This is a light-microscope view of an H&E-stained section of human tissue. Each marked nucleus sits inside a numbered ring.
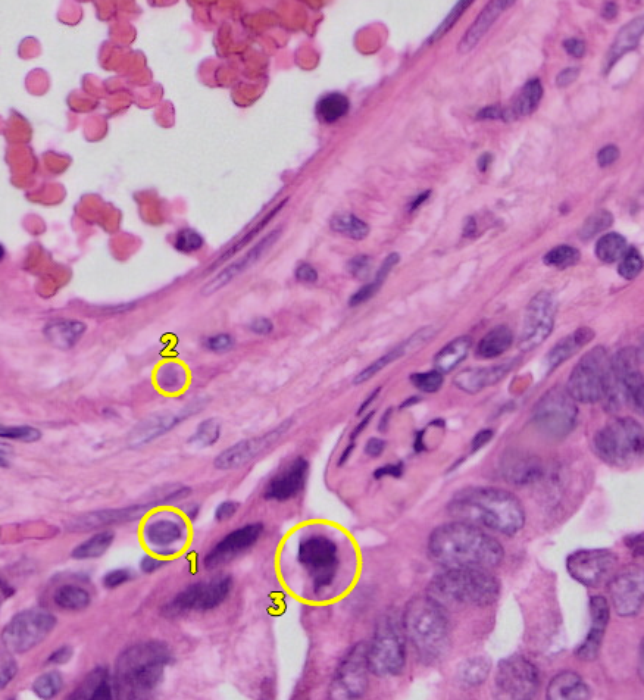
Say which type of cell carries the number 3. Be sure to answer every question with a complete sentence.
Belonging to a carcinoma cell is the nucleus that carries the number 3.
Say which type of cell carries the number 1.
The numbered cell 1 in this field is a lymphocyte.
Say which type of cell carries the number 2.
In this section, number 2 marks a smooth muscle cell or pericyte.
